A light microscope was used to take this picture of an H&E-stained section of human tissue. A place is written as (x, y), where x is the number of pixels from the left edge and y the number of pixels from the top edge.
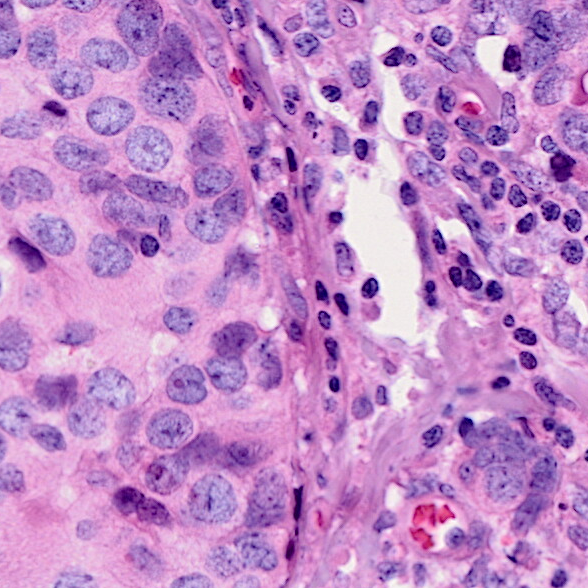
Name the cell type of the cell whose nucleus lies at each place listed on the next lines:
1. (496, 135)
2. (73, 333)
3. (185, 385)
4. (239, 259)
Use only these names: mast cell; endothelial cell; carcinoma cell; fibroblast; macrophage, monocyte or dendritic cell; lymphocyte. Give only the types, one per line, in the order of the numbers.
lymphocyte
carcinoma cell
carcinoma cell
carcinoma cell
